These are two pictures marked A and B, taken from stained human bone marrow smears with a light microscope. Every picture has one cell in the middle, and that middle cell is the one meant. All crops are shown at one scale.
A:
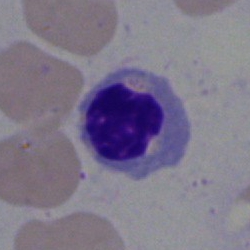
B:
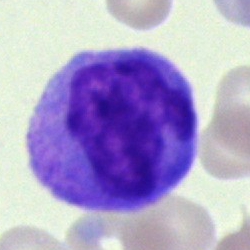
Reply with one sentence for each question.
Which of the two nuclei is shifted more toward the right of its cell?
The nucleus in crop B lies further toward the right of its cell.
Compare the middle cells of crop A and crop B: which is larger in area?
It is the cell in crop B, about 2.5 times as large in area as the cell in crop A.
